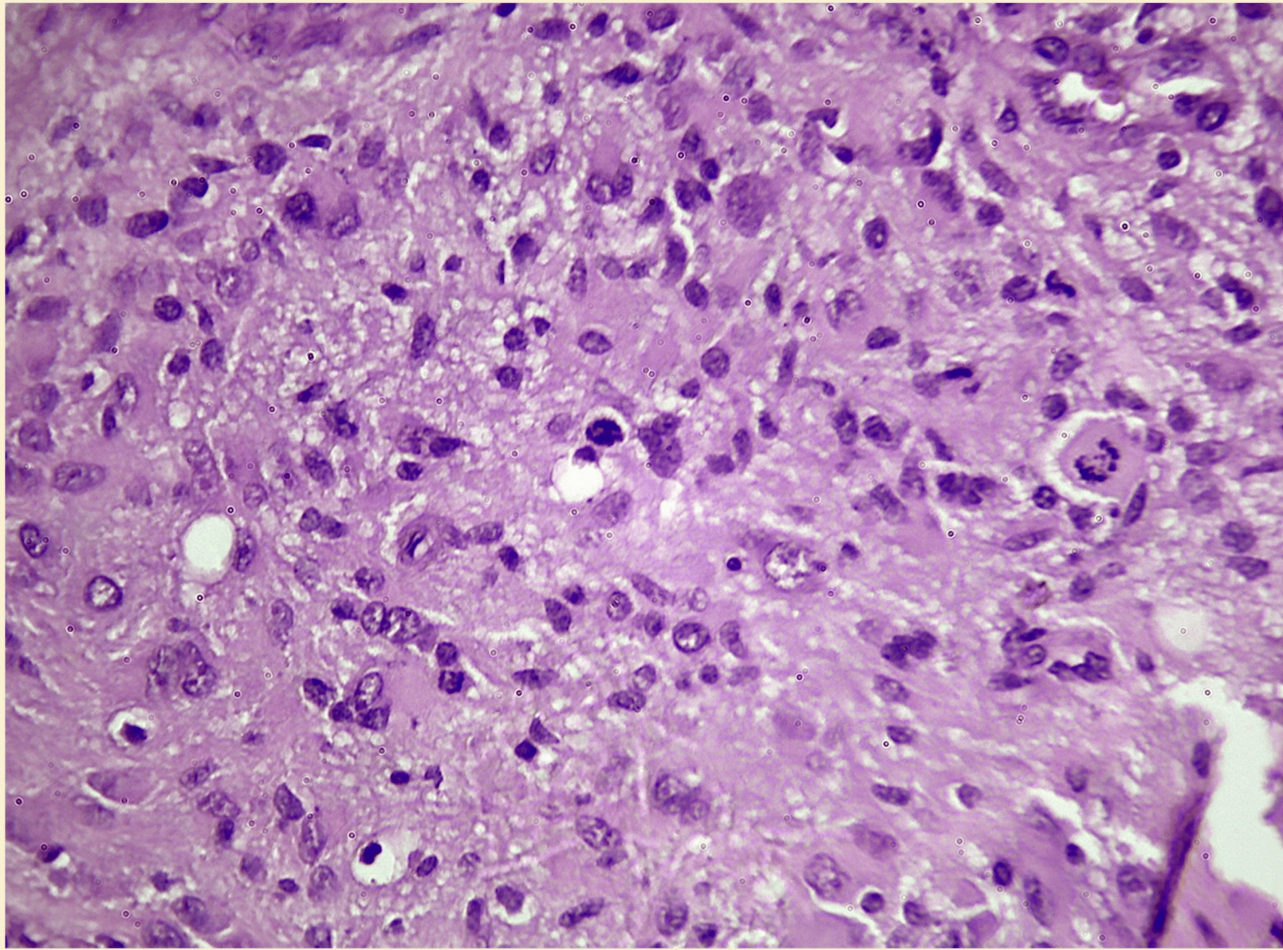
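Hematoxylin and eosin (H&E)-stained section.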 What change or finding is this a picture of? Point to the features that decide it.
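Nuclei vary widely in size and shape. Many nuclei are dark and irregular, some elongated, some large and rounded. So: nuclear atypia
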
